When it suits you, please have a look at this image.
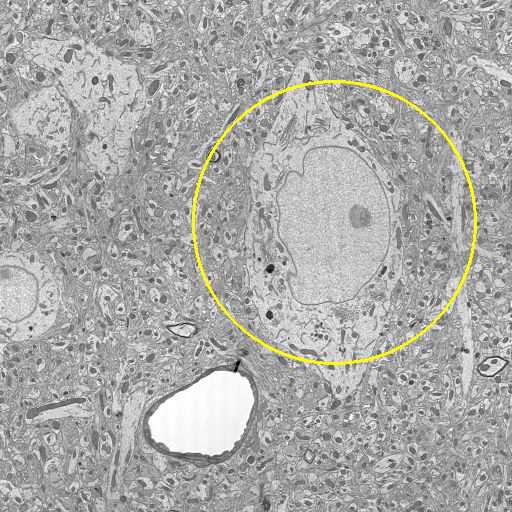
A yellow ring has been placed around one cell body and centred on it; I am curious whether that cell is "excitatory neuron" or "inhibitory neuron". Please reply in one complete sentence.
The ringed cell, an excitatory neuron, has its body at the centre of the yellow ring.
